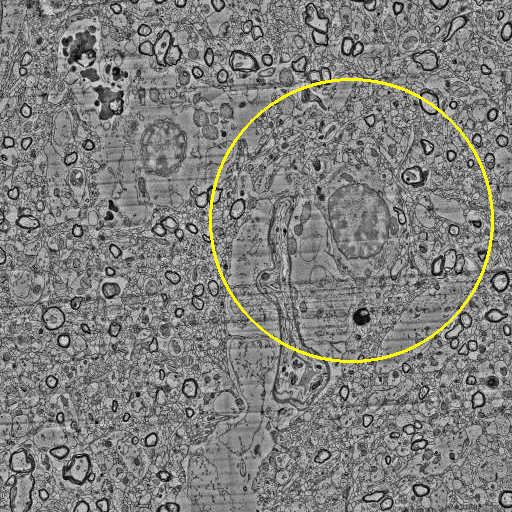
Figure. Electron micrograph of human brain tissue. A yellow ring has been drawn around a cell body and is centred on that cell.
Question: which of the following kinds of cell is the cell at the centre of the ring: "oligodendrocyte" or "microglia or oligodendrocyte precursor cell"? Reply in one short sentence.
The cell at the centre of the ring is an oligodendrocyte.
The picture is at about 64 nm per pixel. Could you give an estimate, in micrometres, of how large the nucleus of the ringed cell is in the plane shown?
In this plane the nucleus is about 5 micrometres by 4.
